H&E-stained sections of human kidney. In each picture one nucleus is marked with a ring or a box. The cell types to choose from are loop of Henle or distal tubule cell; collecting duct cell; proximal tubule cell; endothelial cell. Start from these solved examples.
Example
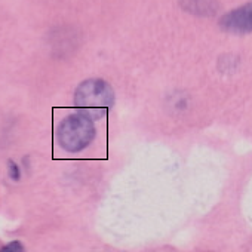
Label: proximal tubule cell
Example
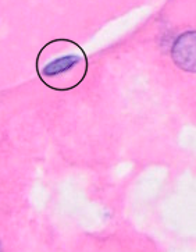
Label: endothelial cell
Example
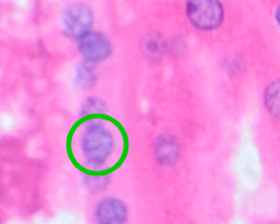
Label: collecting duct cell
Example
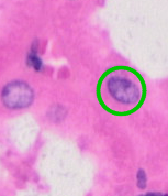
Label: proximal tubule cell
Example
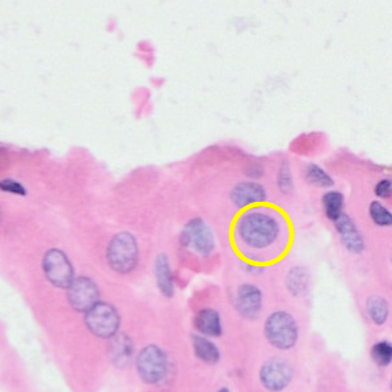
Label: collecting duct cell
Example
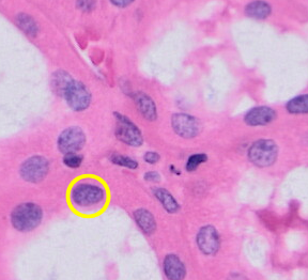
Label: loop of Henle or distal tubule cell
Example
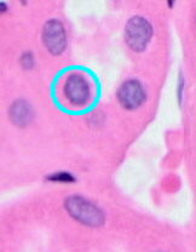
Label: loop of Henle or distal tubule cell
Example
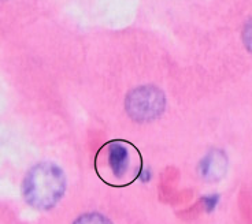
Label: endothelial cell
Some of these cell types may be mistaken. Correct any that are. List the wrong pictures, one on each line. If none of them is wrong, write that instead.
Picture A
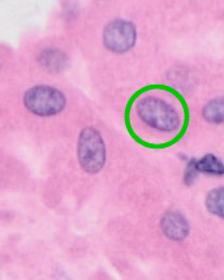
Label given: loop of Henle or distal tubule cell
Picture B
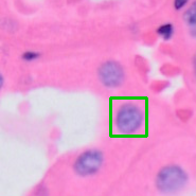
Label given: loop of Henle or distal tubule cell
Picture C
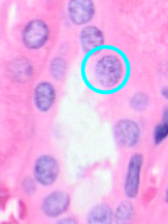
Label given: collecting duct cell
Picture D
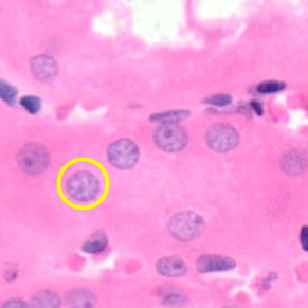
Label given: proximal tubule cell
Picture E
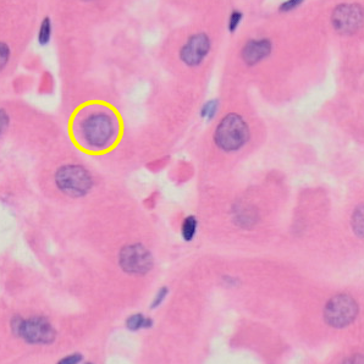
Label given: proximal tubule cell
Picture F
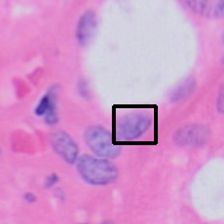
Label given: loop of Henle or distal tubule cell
A: change loop of Henle or distal tubule cell to proximal tubule cell
F: change loop of Henle or distal tubule cell to collecting duct cell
